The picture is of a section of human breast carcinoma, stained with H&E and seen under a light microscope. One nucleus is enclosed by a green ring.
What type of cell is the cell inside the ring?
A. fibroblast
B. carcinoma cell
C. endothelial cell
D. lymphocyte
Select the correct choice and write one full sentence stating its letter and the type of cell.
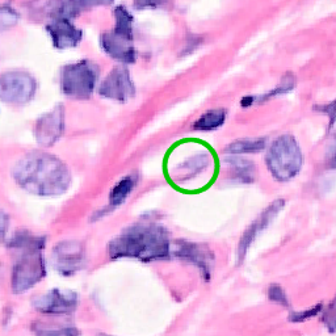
Option C is right, and the cell inside the ring is an endothelial cell.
